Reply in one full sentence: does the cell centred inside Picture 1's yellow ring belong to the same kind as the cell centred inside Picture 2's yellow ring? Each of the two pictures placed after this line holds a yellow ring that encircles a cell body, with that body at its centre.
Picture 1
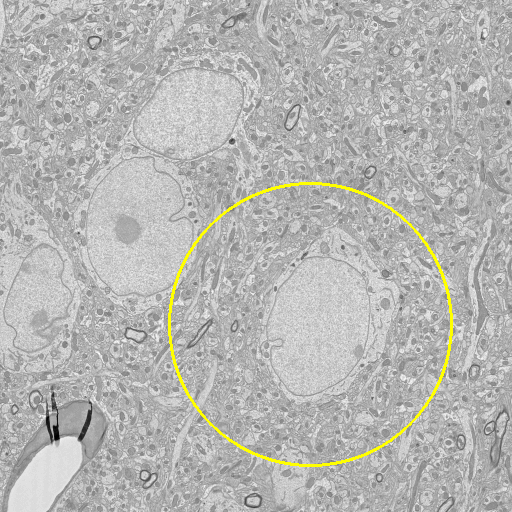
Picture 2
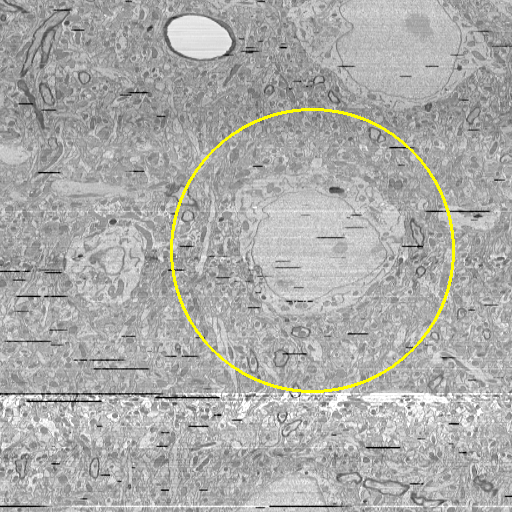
Yes, the ring-centred cells in Picture 1 and Picture 2 are of one and the same kind.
